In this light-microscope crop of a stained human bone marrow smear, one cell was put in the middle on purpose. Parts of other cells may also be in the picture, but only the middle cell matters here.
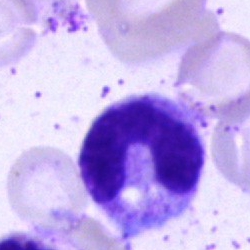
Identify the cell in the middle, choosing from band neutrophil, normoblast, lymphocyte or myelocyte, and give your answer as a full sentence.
For this crop, the central cell is a band neutrophil.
